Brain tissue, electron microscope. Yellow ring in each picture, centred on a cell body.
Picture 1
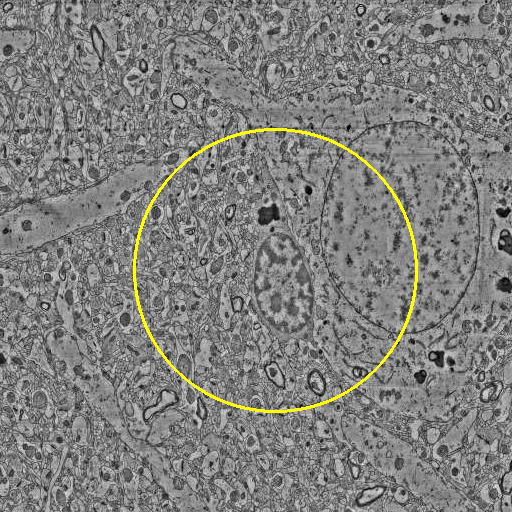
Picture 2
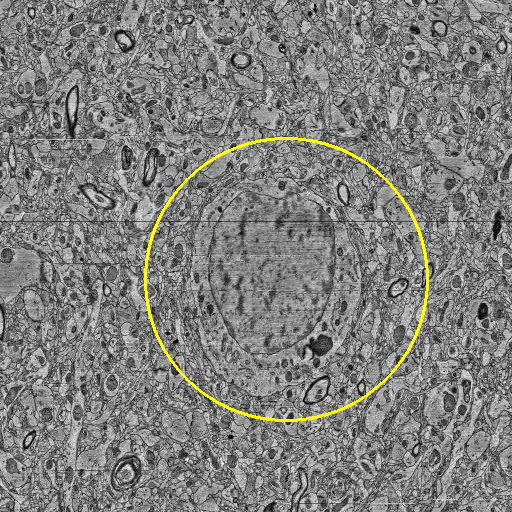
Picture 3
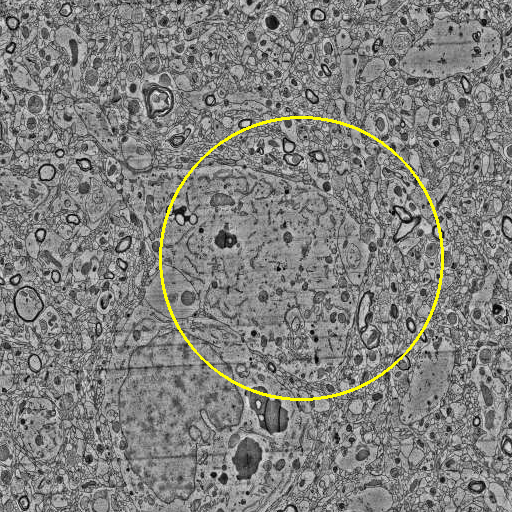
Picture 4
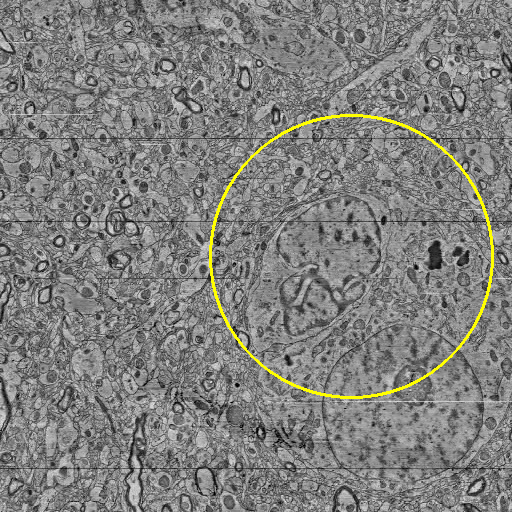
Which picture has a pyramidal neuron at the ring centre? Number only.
3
